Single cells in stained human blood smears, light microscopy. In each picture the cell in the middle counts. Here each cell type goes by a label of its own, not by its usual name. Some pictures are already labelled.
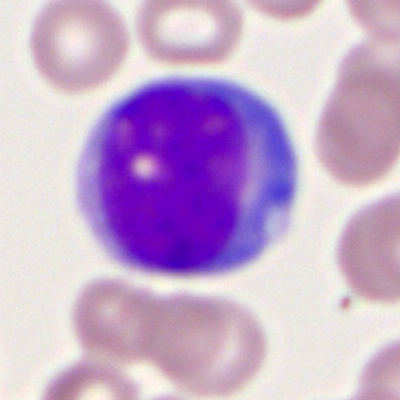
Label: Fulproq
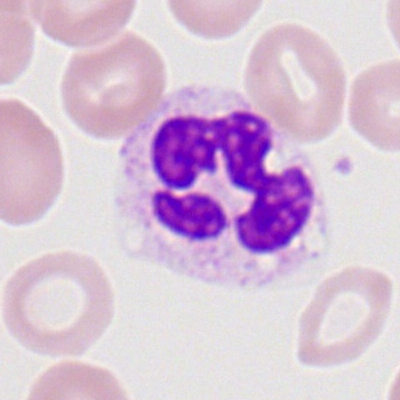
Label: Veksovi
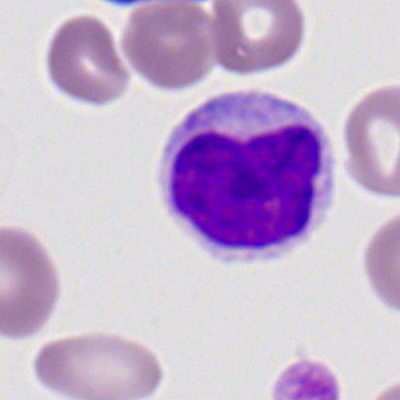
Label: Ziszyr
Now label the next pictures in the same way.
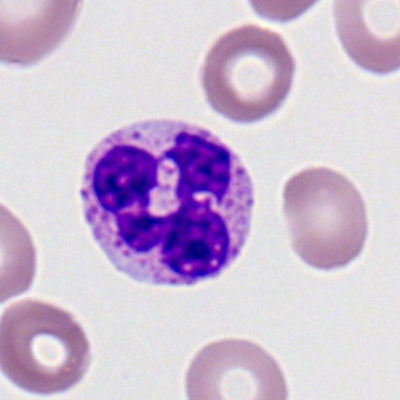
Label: Veksovi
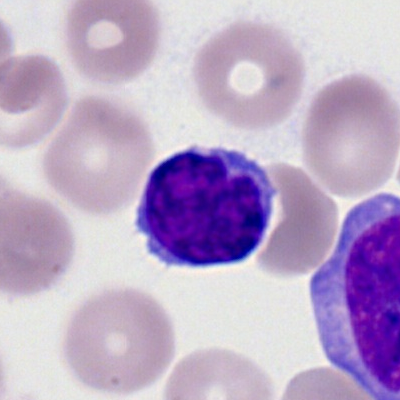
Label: Ziszyr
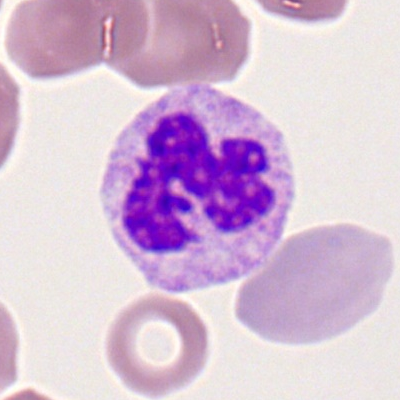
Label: Veksovi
